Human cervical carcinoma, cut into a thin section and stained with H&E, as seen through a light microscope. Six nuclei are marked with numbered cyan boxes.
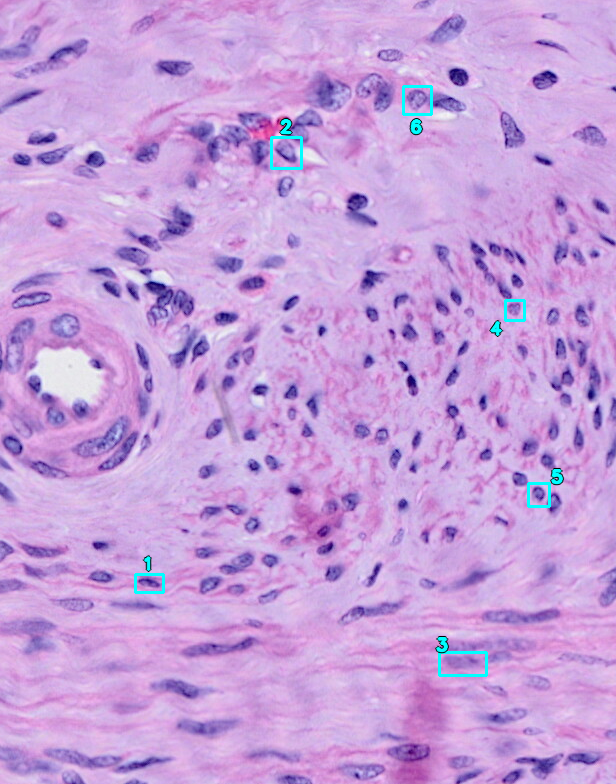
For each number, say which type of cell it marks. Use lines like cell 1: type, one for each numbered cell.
cell 1: smooth muscle cell
cell 2: endothelial cell
cell 3: smooth muscle cell
cell 4: smooth muscle cell
cell 5: smooth muscle cell
cell 6: endothelial cell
